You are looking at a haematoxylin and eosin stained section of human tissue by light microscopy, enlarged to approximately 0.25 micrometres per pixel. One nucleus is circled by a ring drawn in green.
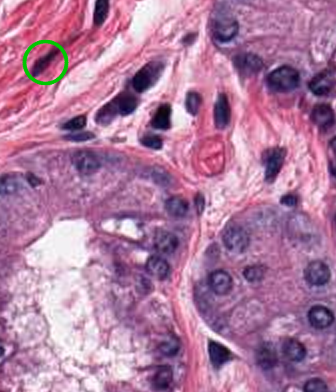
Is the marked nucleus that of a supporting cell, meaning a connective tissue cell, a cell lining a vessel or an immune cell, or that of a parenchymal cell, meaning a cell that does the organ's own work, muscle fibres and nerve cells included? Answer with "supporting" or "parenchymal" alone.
supporting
